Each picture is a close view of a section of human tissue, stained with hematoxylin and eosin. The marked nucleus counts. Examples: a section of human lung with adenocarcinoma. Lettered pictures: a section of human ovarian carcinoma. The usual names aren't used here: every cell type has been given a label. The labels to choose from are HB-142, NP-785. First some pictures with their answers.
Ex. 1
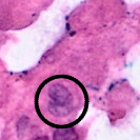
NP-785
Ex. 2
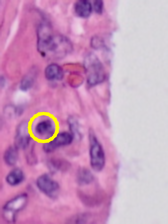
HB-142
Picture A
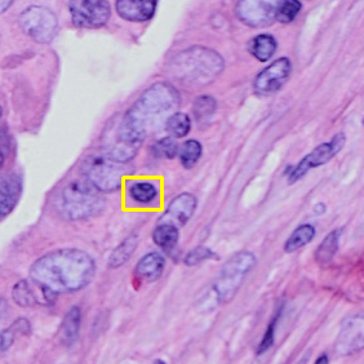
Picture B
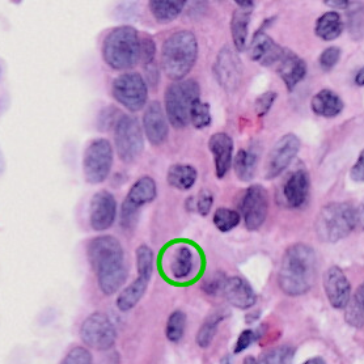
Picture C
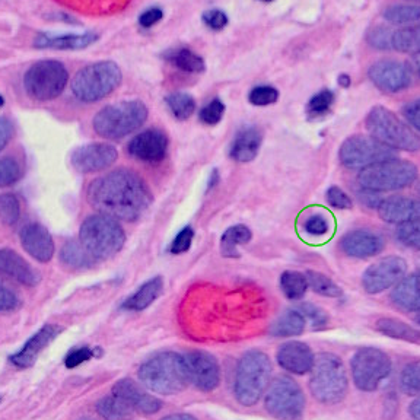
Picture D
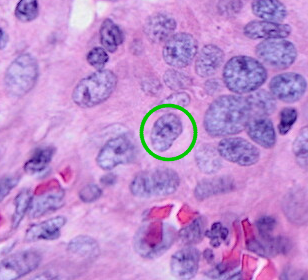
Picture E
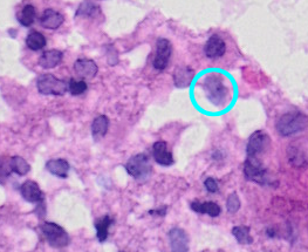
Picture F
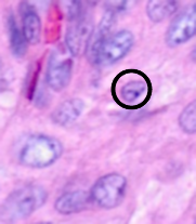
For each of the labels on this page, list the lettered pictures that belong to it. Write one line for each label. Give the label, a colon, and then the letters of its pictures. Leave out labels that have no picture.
HB-142: A, B, C
NP-785: D, E, F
